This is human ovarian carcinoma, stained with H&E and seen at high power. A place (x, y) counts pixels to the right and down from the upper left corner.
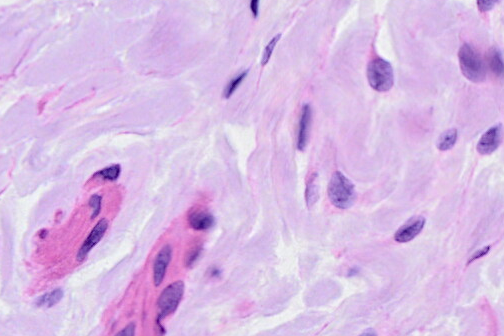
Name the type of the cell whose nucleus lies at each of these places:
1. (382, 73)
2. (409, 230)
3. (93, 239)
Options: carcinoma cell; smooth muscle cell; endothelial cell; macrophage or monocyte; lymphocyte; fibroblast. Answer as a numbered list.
1. fibroblast
2. fibroblast
3. smooth muscle cell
